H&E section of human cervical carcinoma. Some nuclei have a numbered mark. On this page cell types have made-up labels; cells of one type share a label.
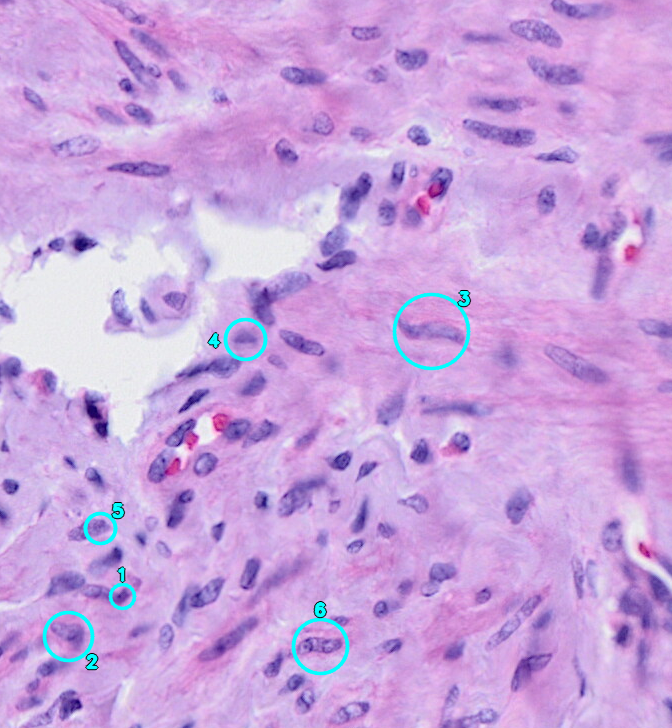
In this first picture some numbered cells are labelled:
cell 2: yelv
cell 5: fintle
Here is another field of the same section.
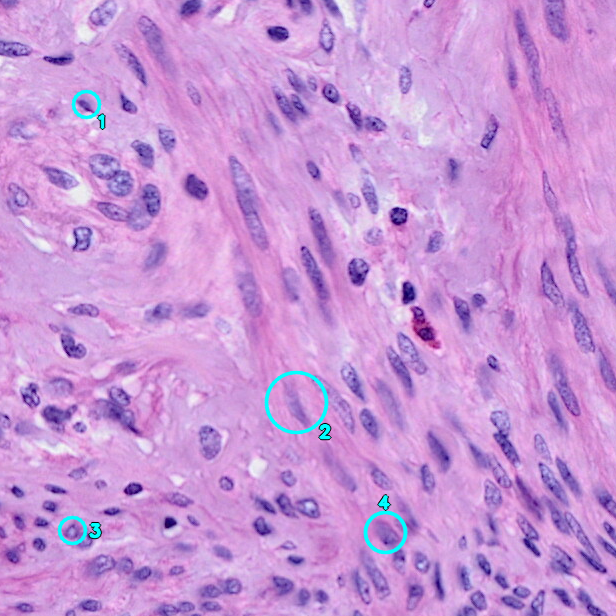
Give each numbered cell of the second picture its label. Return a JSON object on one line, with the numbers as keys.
{"1": "fintle", "2": "yelv", "3": "yelv", "4": "yelv"}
